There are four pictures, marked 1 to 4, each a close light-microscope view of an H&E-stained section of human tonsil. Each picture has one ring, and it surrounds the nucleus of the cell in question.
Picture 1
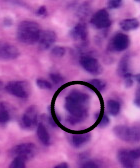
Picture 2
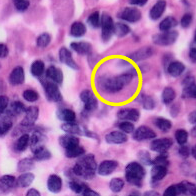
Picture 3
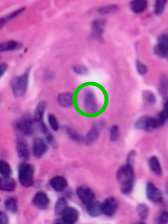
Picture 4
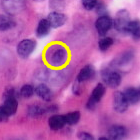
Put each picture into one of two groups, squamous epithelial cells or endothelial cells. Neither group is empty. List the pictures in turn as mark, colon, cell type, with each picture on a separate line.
1: squamous epithelial cell
2: endothelial cell
3: endothelial cell
4: endothelial cell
